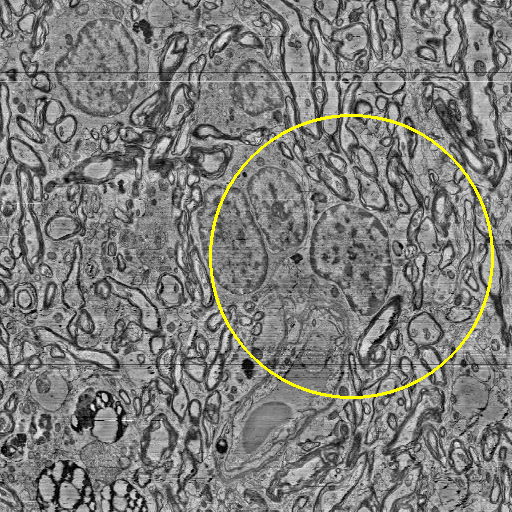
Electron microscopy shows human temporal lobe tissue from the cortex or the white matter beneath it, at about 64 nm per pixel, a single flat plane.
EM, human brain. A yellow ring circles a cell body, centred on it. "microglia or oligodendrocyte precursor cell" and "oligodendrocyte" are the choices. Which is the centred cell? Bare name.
microglia or oligodendrocyte precursor cell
